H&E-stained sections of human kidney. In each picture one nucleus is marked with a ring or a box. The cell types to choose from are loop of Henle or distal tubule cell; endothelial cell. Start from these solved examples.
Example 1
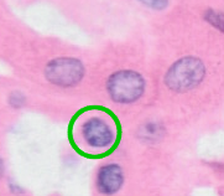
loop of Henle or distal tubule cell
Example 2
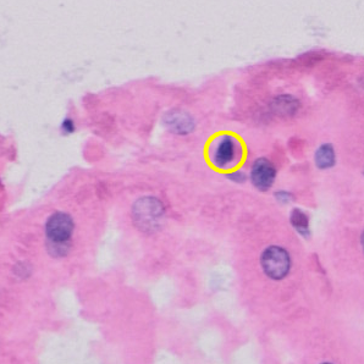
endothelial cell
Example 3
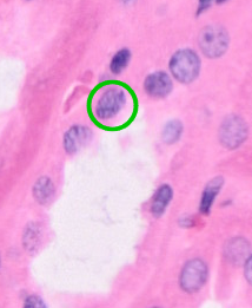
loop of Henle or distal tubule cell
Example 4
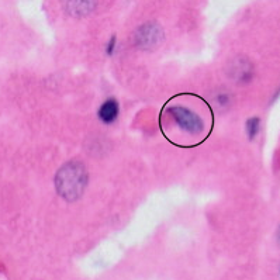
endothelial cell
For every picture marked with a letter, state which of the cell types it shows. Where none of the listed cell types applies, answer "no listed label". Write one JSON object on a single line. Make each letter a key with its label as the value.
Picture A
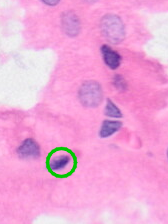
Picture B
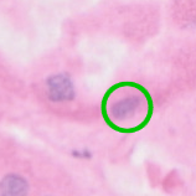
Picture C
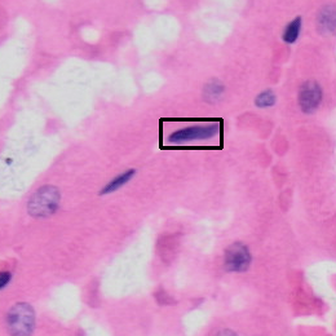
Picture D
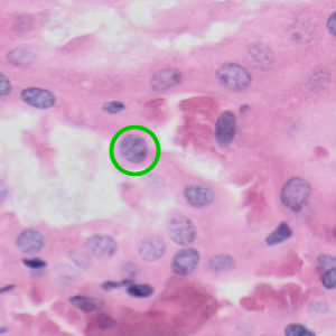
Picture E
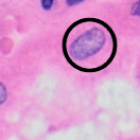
{"A": "endothelial cell", "B": "no listed label", "C": "endothelial cell", "D": "loop of Henle or distal tubule cell", "E": "no listed label"}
